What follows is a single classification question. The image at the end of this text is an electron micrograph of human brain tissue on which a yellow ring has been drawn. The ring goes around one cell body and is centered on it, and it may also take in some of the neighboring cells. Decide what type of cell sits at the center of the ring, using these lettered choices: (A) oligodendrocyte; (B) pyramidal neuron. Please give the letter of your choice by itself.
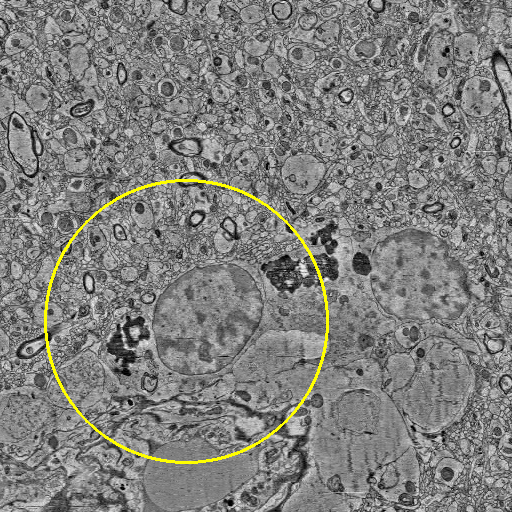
A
